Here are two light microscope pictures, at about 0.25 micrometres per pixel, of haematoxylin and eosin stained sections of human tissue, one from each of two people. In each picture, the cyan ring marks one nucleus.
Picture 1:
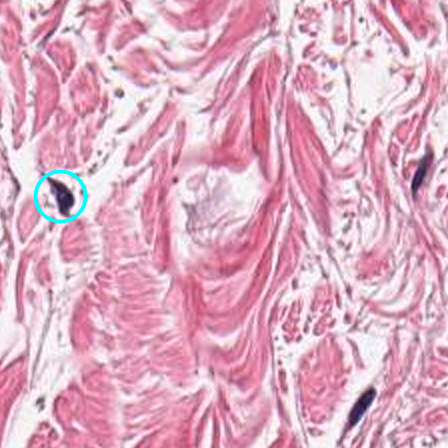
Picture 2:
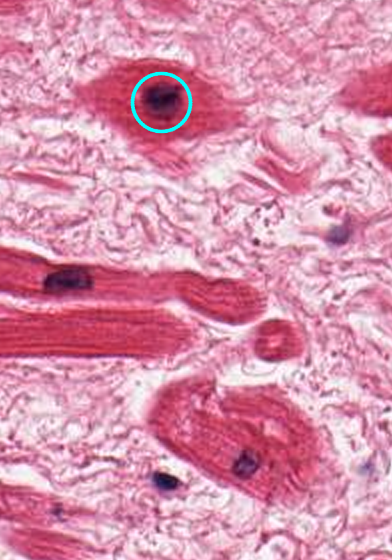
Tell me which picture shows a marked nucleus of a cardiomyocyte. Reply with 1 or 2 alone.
2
